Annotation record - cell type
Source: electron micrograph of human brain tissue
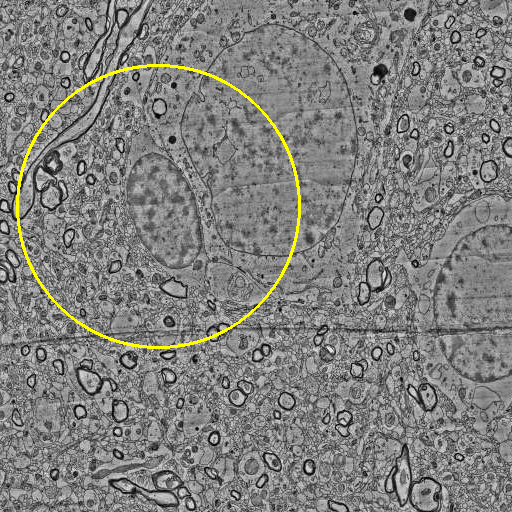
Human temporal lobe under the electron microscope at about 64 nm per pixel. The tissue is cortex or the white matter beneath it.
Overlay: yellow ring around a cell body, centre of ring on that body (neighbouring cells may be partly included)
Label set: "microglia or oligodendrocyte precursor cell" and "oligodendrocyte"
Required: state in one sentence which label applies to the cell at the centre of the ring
This cell should be labelled as an oligodendrocyte.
